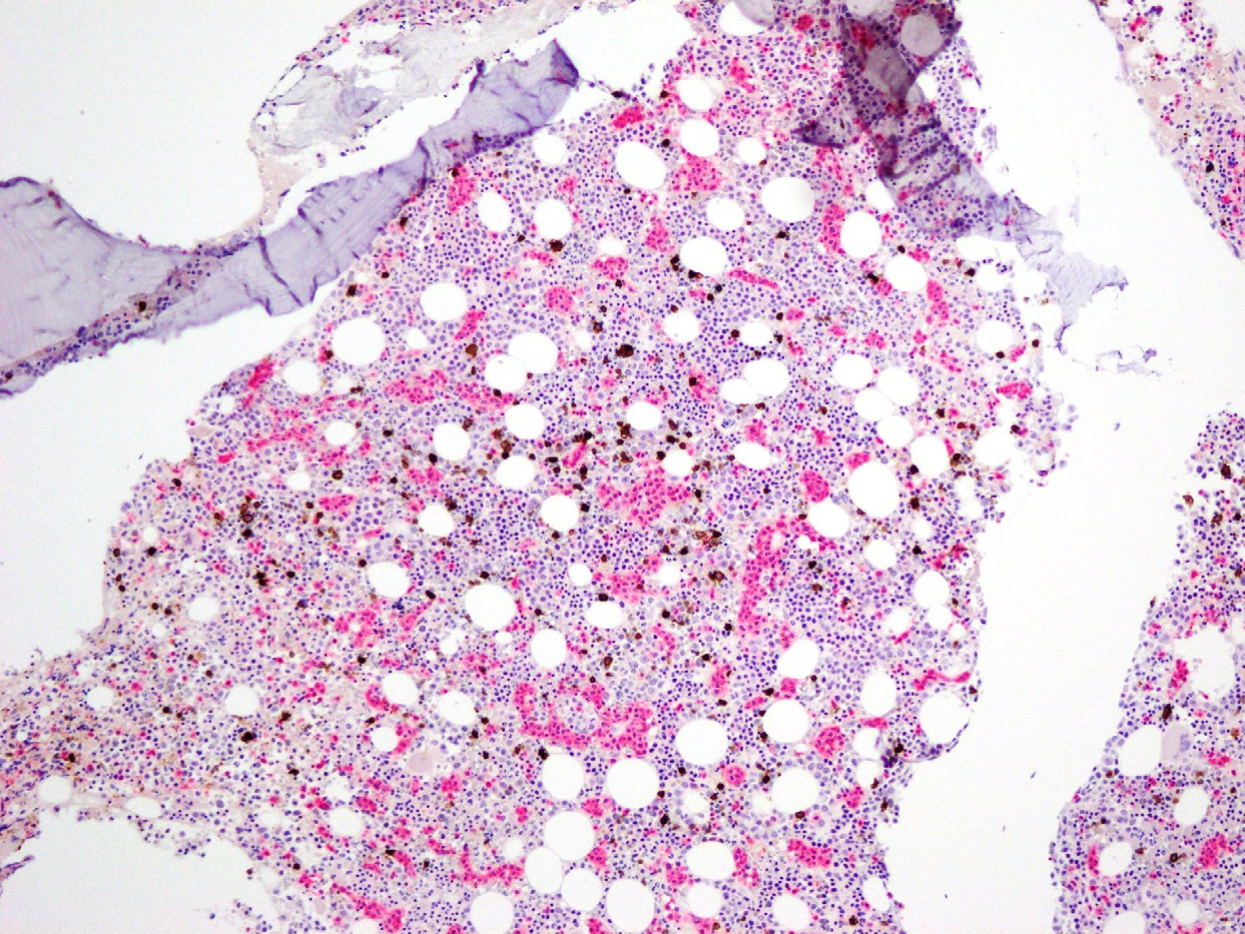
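This is a section of marrow showing cellular hematopoietic tissue between bony trabeculae, with pink-staining cells lying in an intrasinusoidal pattern. Purple lamellar bone trabeculae cross the upper left part of the field. The intertrabecular space is filled with densely packed small cells with blue nuclei, interrupted by many round, clear fat spaces of varying size. Brown-stained cells are fewer and lie singly or in small loose groups, scattered through the marrow.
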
